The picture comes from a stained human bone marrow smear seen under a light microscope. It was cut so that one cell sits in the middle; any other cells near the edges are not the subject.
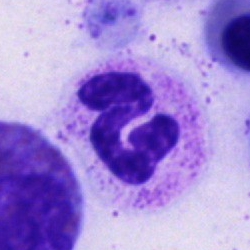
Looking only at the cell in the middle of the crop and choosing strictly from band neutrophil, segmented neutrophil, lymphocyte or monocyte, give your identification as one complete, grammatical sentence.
Of the cells in this crop, the central one is a segmented neutrophil.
